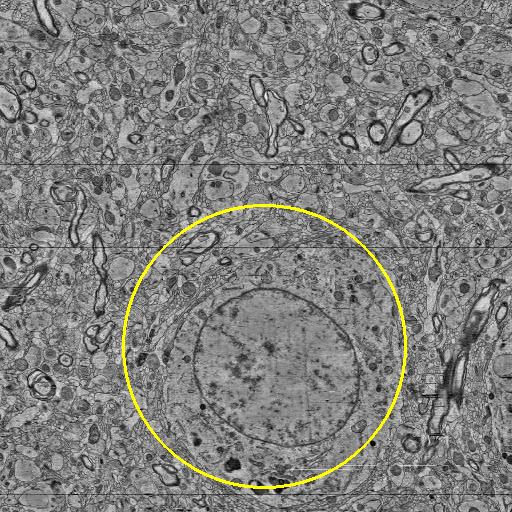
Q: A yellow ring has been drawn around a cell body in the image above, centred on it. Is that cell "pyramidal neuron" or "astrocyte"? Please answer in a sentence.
The ring surrounds the cell body of a pyramidal neuron.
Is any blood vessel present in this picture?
No, the image shows no blood vessel.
